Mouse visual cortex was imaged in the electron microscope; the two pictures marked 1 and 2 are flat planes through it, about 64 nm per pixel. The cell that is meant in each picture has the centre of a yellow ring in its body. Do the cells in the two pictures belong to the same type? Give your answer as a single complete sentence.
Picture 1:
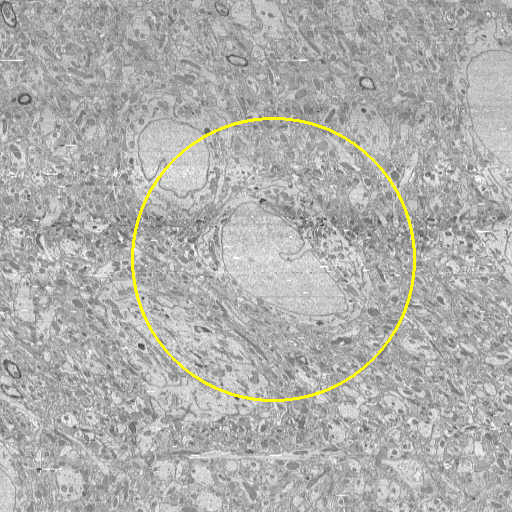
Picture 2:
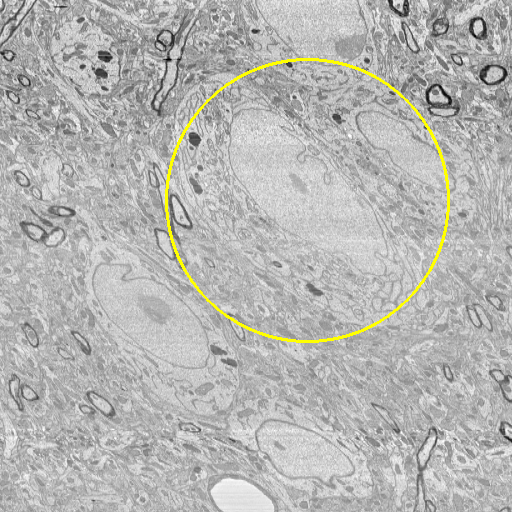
Yes; the cells in both pictures are inhibitory neurons.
